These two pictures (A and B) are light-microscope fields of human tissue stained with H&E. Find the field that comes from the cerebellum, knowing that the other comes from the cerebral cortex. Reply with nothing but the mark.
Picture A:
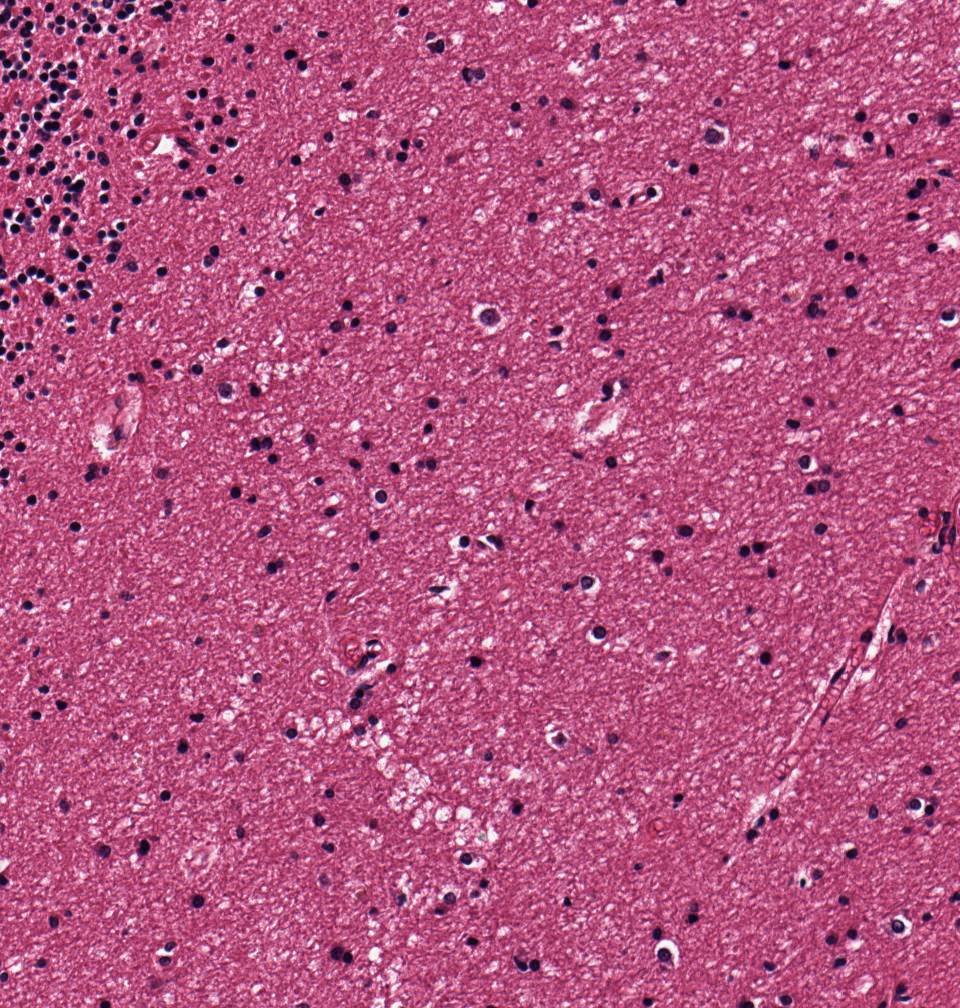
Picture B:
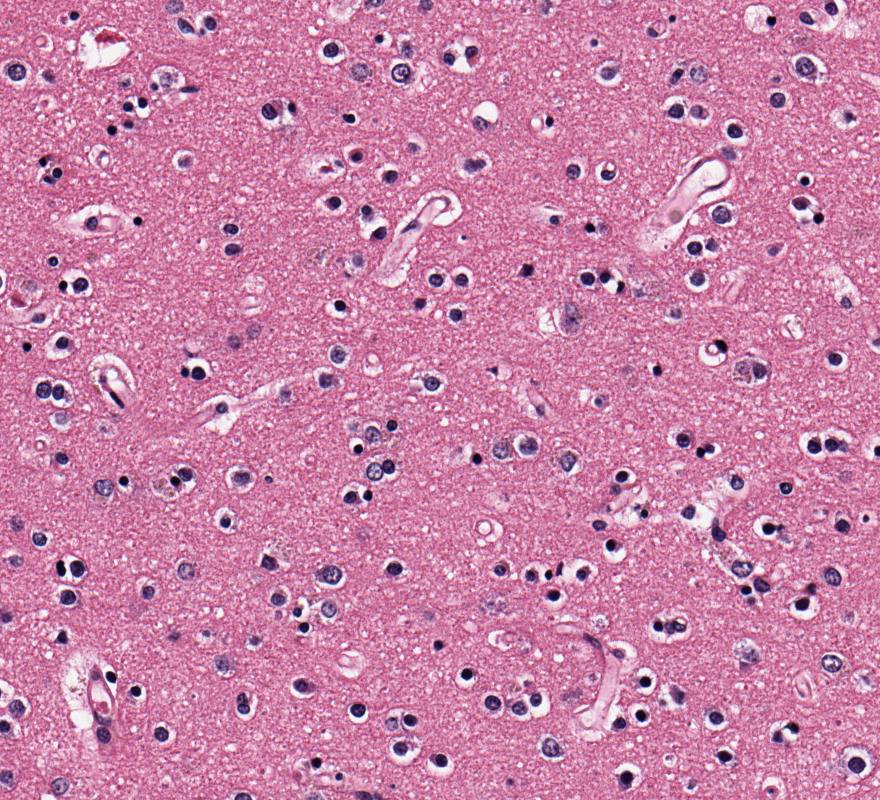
A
